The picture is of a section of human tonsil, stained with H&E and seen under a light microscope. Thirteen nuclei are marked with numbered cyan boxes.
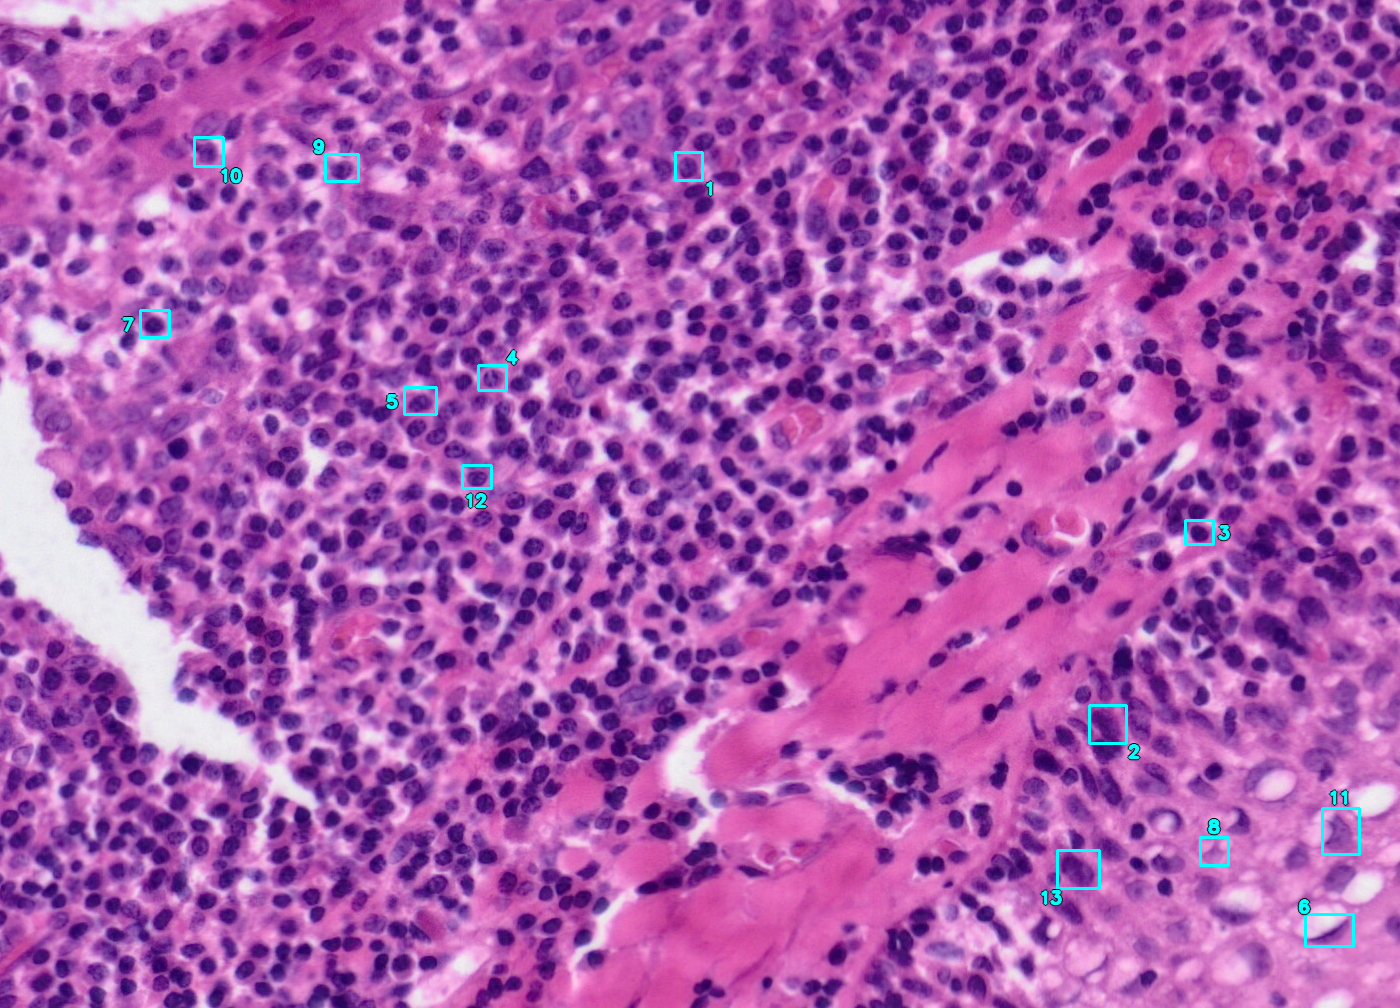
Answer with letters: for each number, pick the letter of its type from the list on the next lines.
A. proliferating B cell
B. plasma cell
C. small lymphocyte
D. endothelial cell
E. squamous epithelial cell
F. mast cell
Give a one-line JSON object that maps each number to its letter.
{"1": "B", "2": "E", "3": "B", "4": "B", "5": "B", "6": "E", "7": "B", "8": "E", "9": "E", "10": "E", "11": "E", "12": "B", "13": "E"}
